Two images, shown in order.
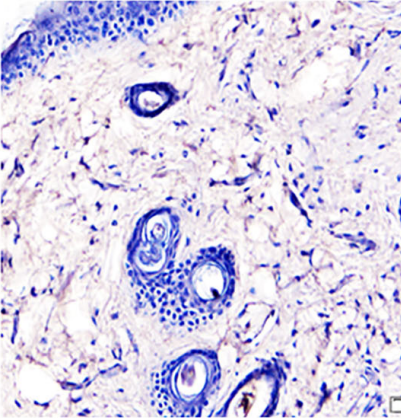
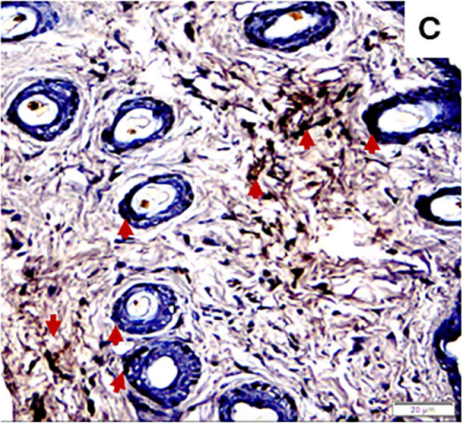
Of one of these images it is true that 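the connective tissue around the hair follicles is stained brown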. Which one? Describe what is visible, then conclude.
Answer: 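The second image. First image: the dermis and follicles are blue and pale with almost no brown stain. Second image: abundant brown stain in the dermis between the follicles, marked by red arrows.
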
